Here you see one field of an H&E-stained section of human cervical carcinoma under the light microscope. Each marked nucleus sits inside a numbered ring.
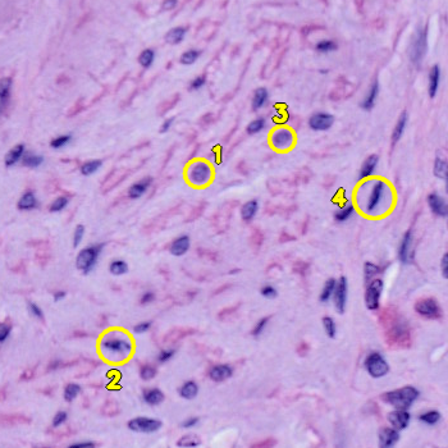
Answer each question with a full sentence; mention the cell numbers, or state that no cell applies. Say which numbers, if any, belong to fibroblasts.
Among the marked cells, a fibroblast is found only at number 4.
